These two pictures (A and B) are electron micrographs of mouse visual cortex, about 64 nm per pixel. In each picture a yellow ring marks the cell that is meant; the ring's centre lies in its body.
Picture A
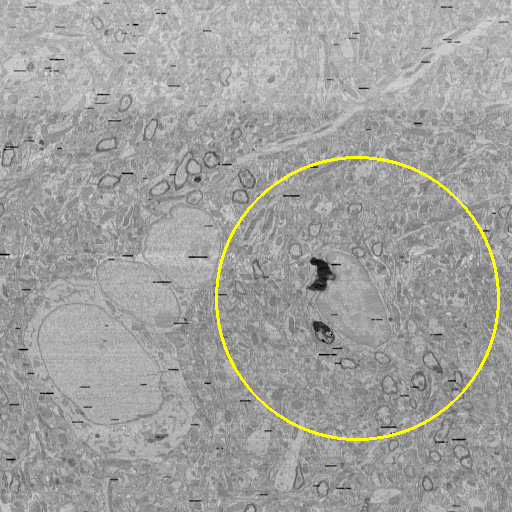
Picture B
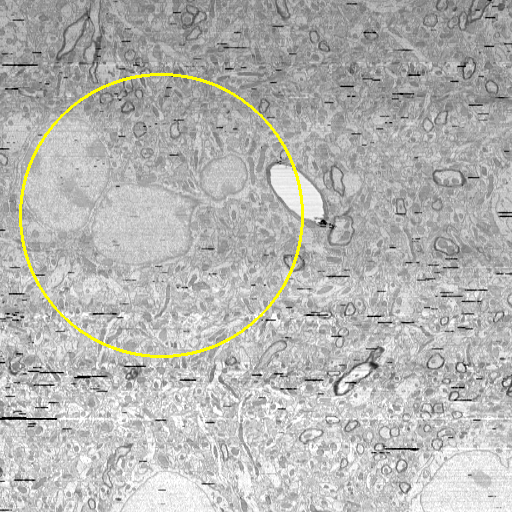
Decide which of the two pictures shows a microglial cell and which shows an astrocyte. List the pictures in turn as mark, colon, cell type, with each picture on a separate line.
A: microglial cell
B: astrocyte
